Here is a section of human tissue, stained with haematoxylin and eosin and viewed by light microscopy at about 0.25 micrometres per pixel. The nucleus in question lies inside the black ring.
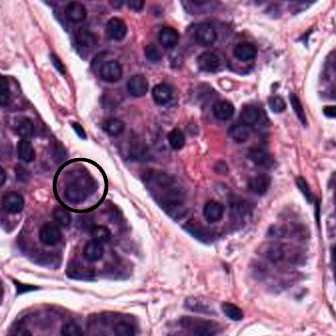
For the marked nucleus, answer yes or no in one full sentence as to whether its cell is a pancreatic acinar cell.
Yes, the marked nucleus is housed in a pancreatic acinar cell.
